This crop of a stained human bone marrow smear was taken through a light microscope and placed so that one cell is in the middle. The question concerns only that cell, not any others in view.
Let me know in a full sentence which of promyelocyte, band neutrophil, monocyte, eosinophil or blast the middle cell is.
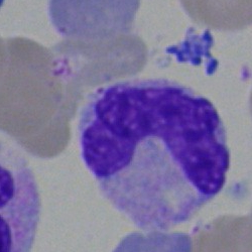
To answer, the cell in the center of the crop is a band neutrophil.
